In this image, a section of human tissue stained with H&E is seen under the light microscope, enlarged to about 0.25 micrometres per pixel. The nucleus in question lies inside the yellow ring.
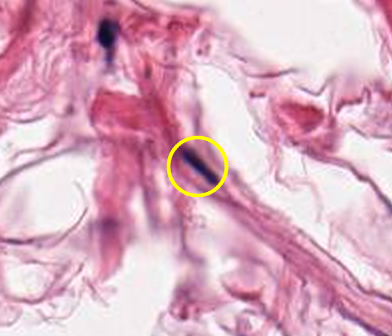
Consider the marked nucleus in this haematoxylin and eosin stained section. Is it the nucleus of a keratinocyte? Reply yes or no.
no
